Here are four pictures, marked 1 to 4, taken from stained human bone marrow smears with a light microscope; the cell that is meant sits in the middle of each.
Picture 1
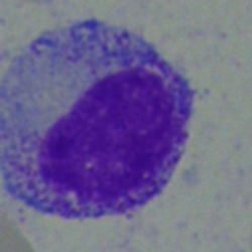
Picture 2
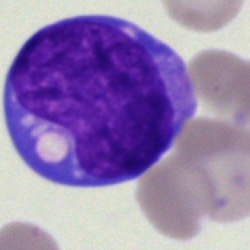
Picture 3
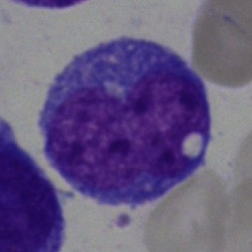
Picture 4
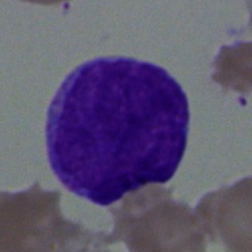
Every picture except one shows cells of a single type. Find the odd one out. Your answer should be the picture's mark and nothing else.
1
